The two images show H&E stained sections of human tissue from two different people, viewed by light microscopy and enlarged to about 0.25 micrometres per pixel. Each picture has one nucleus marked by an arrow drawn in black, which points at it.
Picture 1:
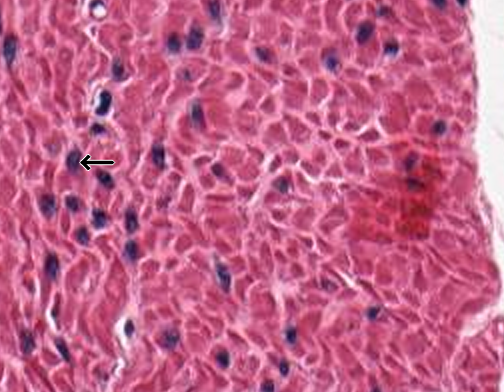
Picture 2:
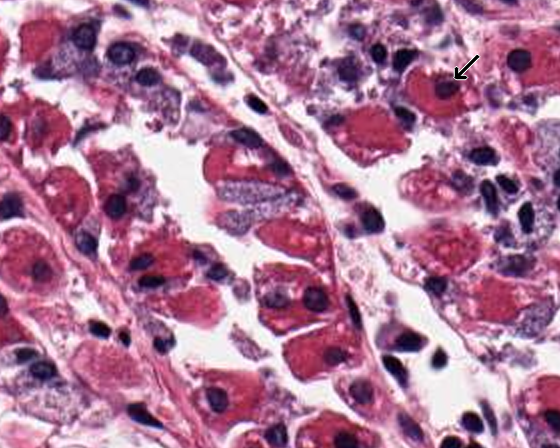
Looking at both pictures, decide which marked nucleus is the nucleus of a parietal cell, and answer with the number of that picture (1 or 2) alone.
2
